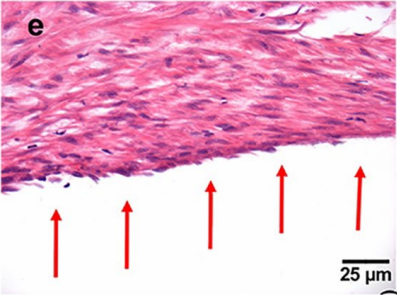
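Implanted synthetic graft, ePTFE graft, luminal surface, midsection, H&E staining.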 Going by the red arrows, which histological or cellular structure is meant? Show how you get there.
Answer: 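Cell lining. The arrows point to the free lower edge of a pink cellular layer. Elongated nuclei lie along and within the layer.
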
